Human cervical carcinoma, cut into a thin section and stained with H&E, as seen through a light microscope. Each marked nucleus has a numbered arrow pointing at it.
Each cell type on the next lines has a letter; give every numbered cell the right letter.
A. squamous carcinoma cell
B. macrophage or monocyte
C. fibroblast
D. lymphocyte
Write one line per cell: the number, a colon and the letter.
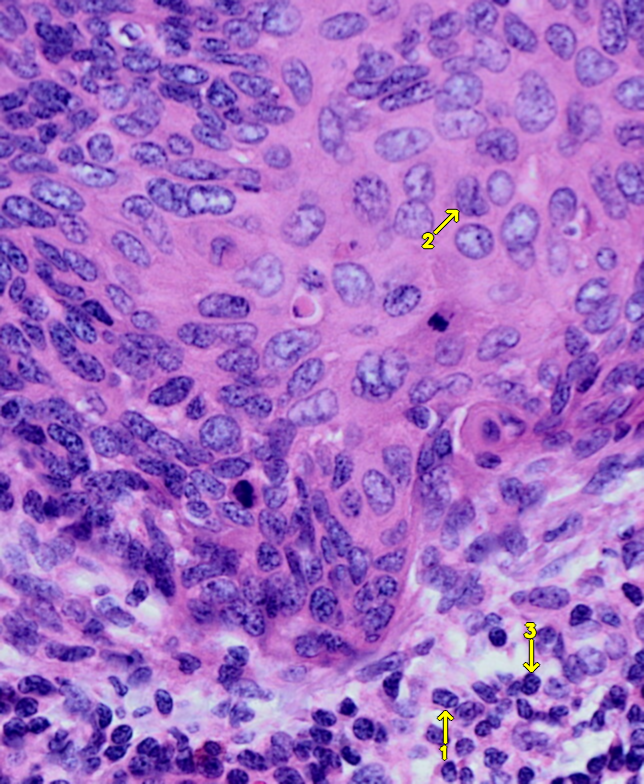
1: D
2: A
3: D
